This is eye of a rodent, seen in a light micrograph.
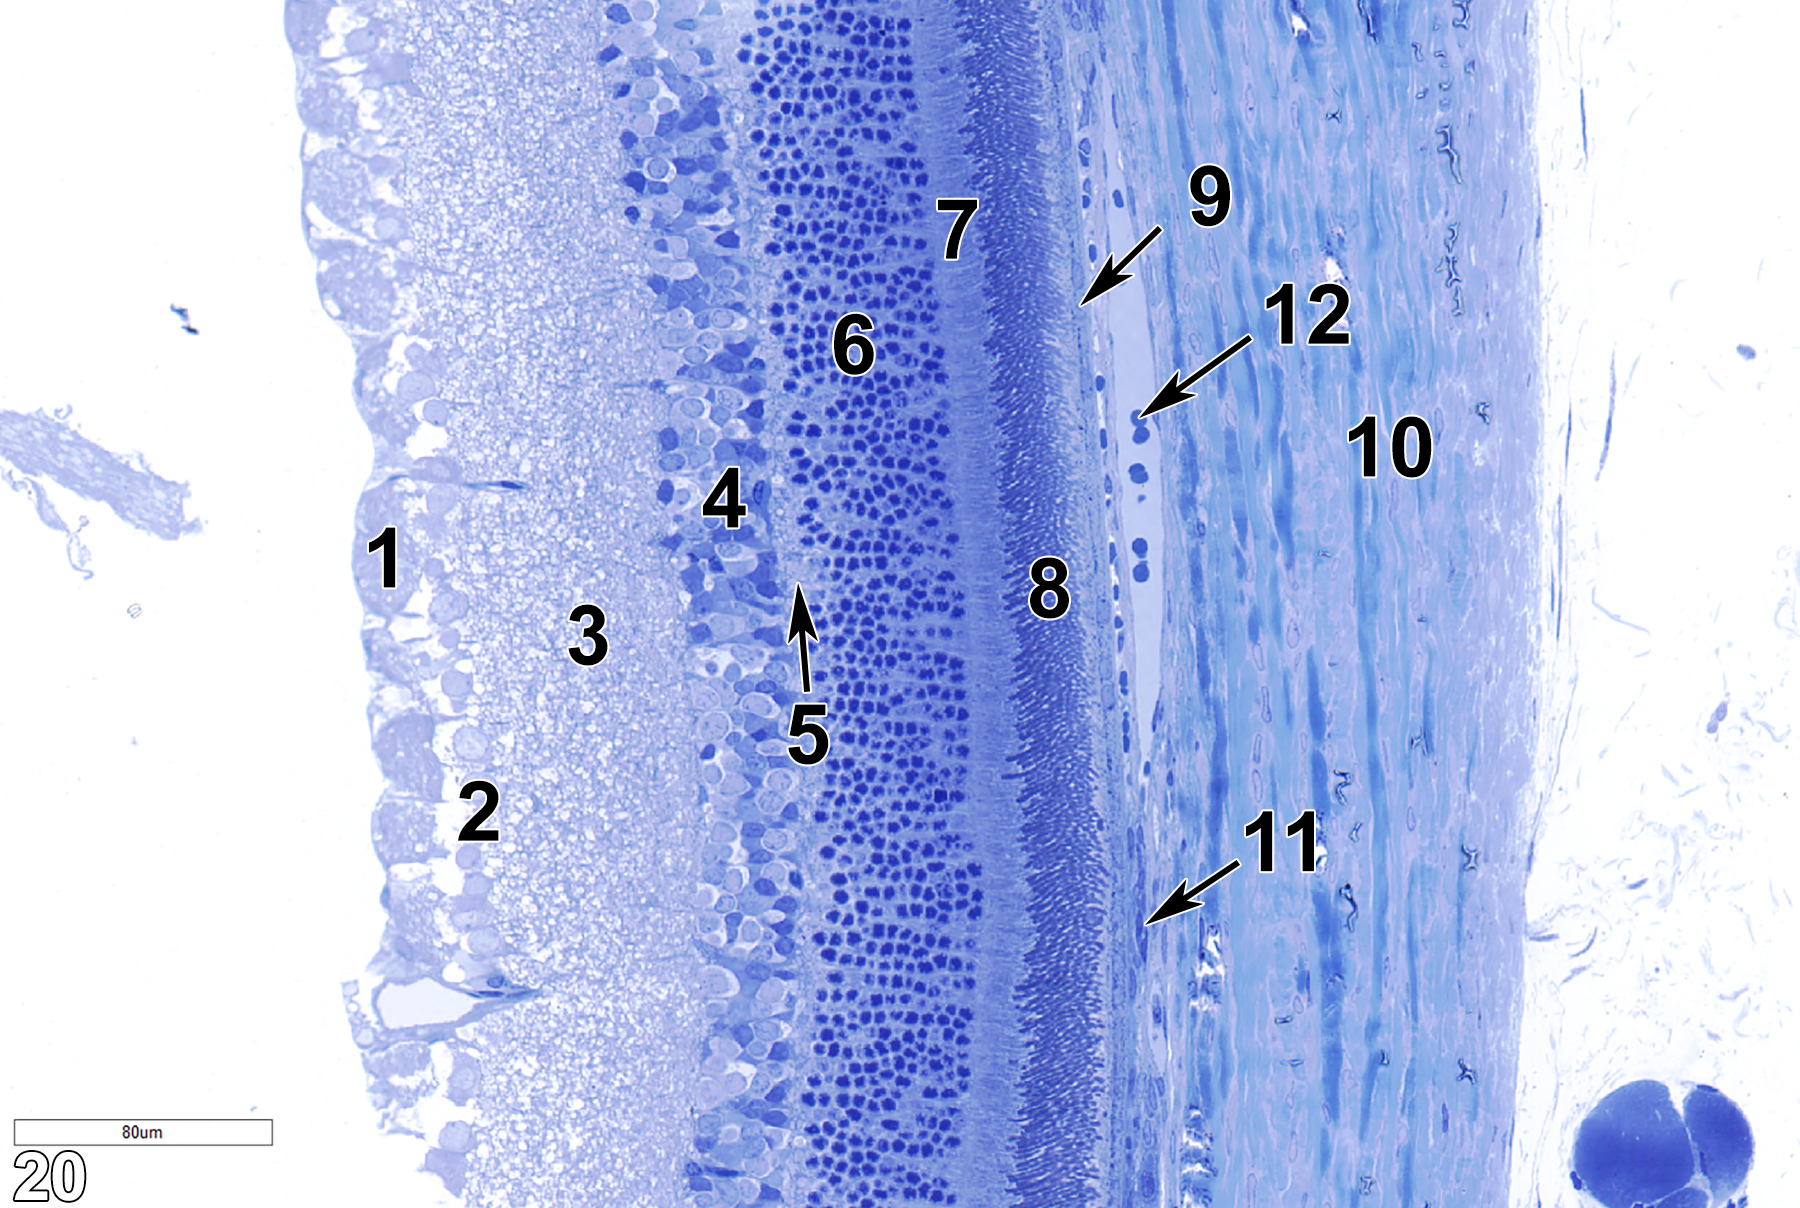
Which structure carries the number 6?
At 6: outer nuclear layer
